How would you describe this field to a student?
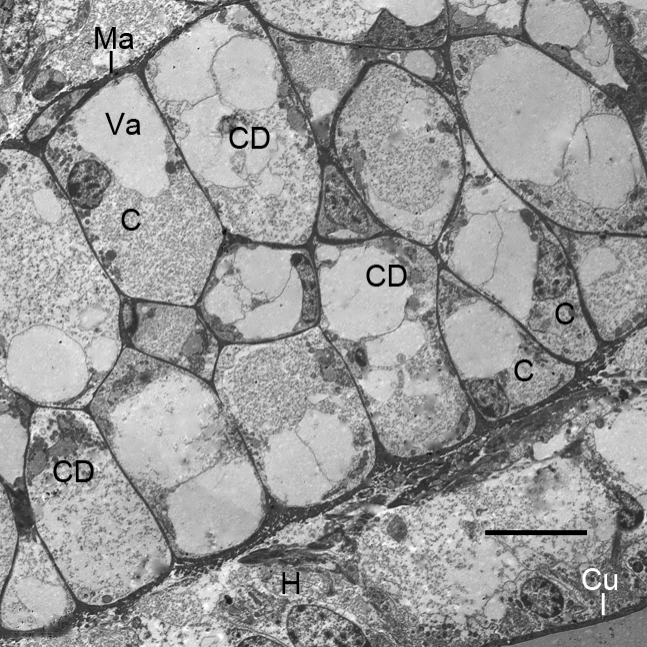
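This is a cartilage-like endoskeleton made of large, closely packed, rounded to polygonal cells, each enclosed by a thin, dense, dark matrix. A dark band of the same matrix also runs along the edge of the whole cell mass. Some cells hold dense nuclei and large, pale, rounded vacuoles in a finely granular cytoplasm, while other compartments contain loose, fragmented cell debris. Below the endoskeleton lies a layer of hypodermal cells, and the smooth external cuticle lies beyond it at the lower right edge.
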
